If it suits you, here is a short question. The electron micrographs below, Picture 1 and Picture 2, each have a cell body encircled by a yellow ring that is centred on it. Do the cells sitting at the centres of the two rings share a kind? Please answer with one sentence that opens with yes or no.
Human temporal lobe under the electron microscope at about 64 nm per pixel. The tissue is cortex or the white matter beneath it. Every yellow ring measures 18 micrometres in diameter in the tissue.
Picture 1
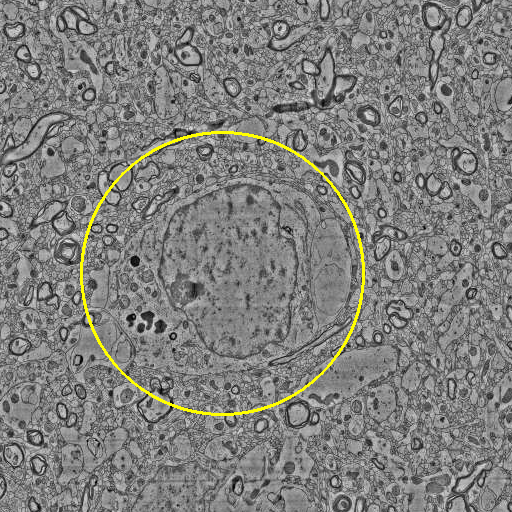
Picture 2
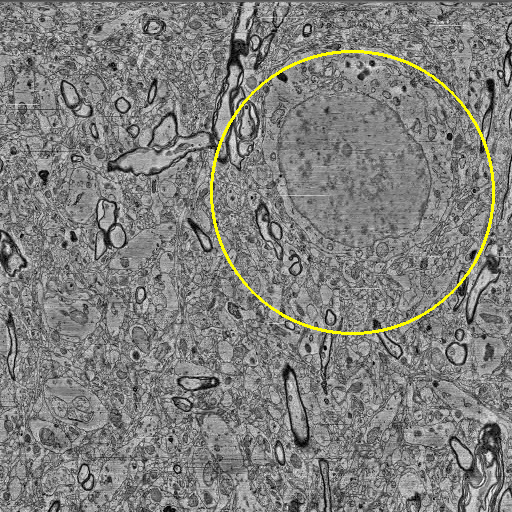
Yes, the two cells sitting at the ring centres share a single kind.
